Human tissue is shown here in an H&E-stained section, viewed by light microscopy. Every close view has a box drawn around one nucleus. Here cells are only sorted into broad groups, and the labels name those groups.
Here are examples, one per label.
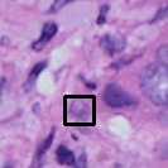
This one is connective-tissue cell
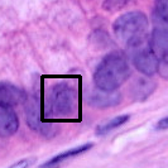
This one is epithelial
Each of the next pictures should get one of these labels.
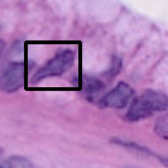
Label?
epithelial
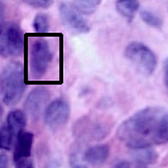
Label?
epithelial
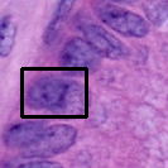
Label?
epithelial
